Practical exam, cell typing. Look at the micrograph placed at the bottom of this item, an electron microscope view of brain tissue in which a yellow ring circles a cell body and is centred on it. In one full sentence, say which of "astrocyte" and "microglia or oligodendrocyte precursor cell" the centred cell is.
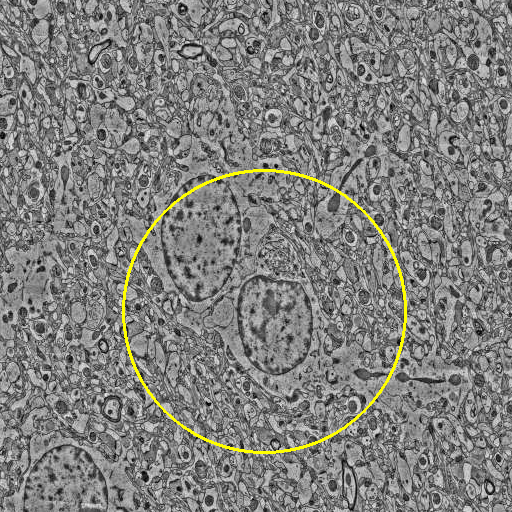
Given the options, an astrocyte fits the cell whose body the yellow ring is centred on.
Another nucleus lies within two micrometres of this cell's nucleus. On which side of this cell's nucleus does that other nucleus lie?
The other nucleus appears to the upper left of it.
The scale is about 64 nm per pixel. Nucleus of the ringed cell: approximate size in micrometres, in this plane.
The nucleus has a long axis of about 6 micrometres and a short axis of about 5 micrometres in this plane.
